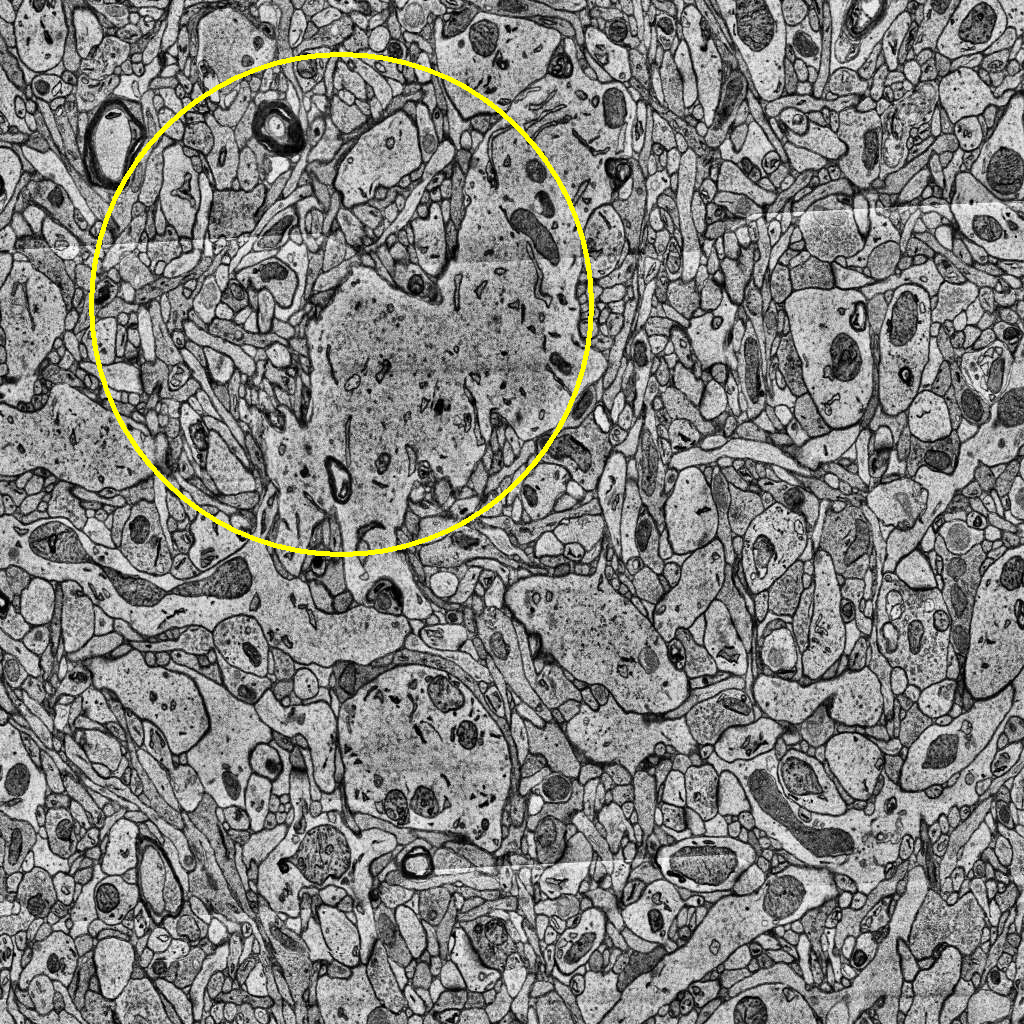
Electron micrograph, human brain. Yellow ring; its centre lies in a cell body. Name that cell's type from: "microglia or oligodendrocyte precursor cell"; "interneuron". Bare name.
microglia or oligodendrocyte precursor cell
